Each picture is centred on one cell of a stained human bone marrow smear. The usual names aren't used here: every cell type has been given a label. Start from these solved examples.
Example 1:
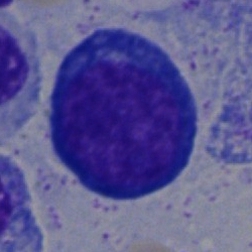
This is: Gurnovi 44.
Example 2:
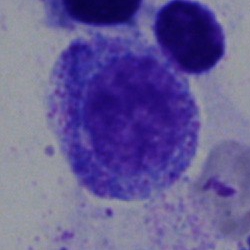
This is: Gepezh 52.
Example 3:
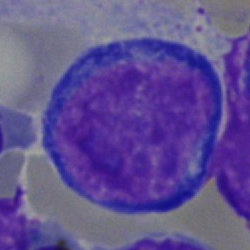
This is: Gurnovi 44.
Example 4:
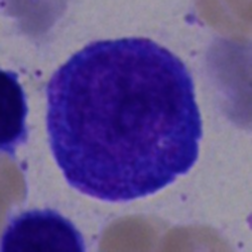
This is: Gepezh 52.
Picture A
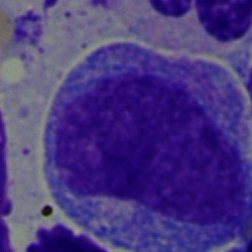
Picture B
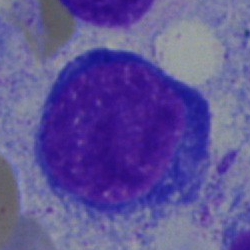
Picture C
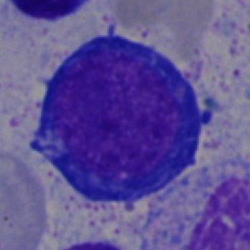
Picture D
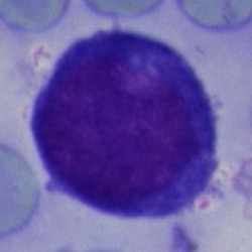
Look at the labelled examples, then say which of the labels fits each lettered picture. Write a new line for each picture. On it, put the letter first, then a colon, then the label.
A: Gepezh 52.
B: Gurnovi 44.
C: Gurnovi 44.
D: Gurnovi 44.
